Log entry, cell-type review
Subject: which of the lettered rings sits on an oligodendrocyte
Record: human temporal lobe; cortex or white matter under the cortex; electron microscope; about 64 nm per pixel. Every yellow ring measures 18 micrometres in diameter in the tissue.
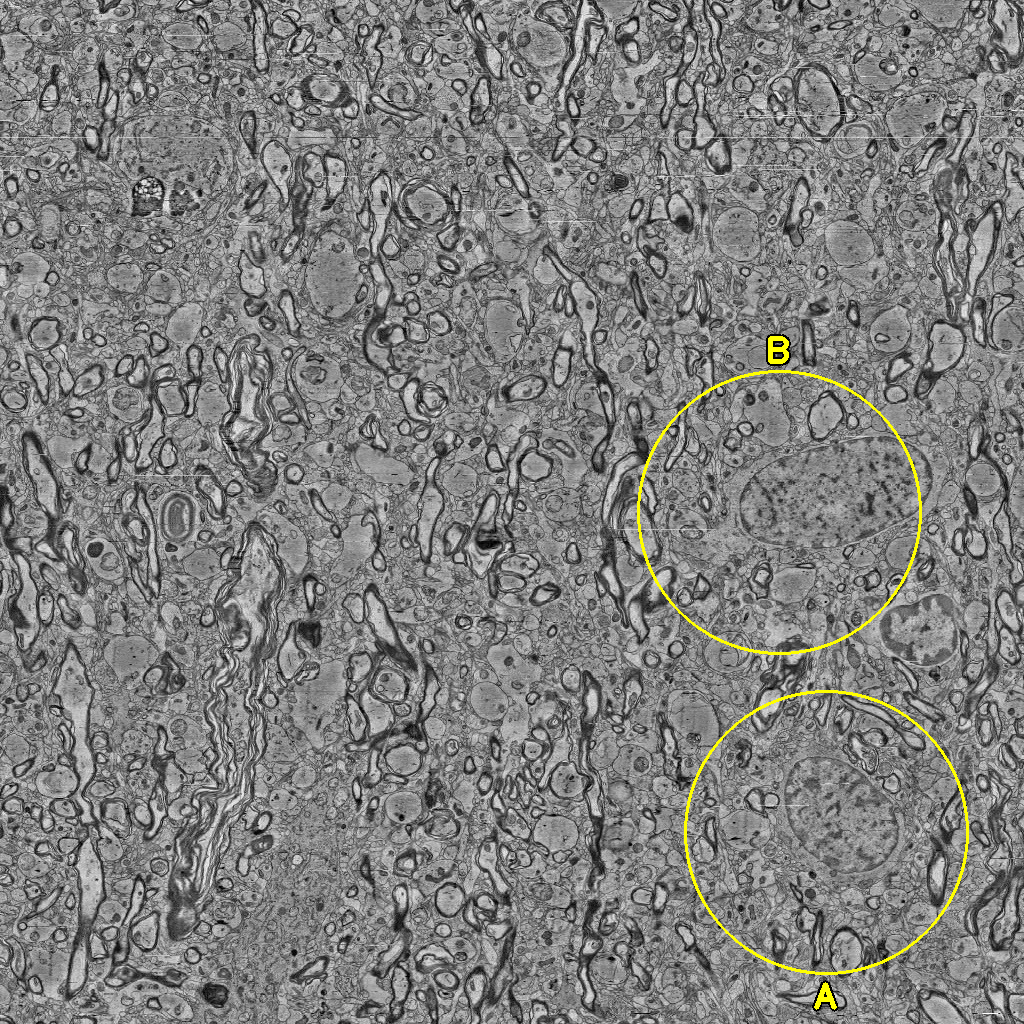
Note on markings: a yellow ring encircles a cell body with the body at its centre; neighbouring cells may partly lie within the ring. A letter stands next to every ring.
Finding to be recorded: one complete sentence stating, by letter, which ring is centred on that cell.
The cell sits at the centre of ring A.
